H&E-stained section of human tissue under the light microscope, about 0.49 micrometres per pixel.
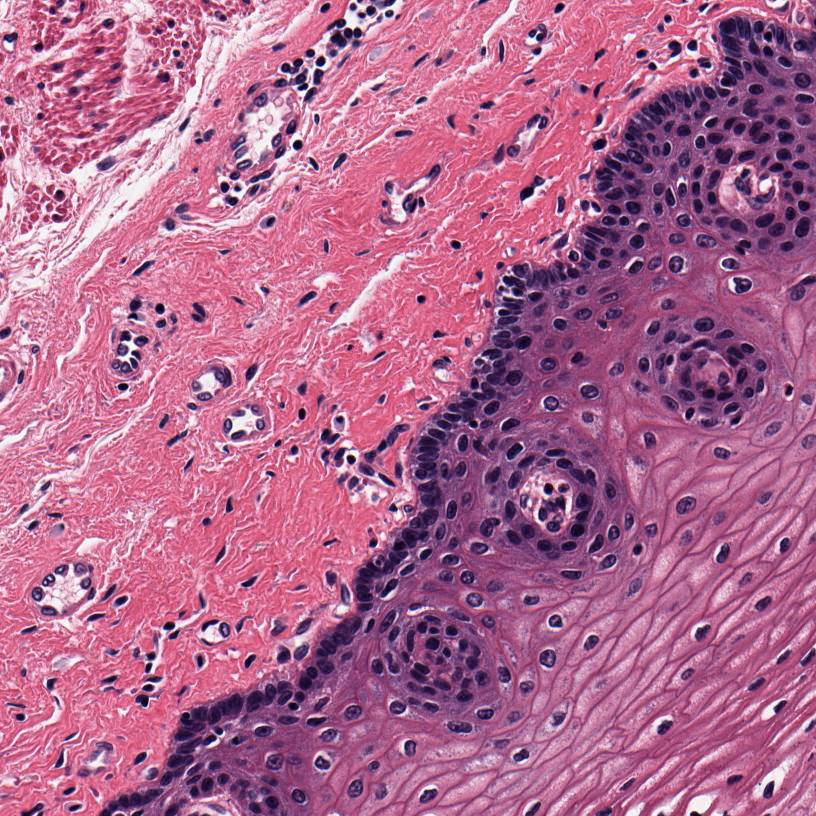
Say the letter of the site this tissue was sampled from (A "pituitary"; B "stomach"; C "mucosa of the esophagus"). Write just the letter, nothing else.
C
